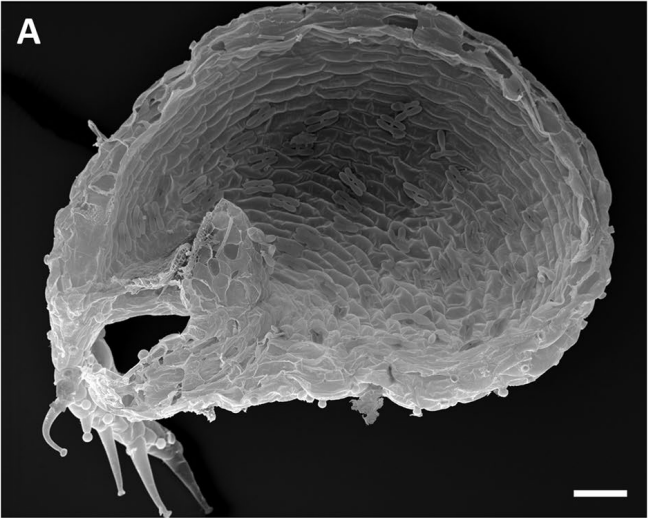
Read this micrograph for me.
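This is a bladderwort trap cut lengthwise, so you look into its hollow interior. The wall is thin and made of many small, elongated cells arranged in curving rows that follow the rounded outline of the chamber. Scattered over the inner surface are small raised structures, some elongated, some paired or cross-like. At the lower left the chamber narrows into a tubular entrance, from whose outer rim several long, tapering hairs project outward. The cut edge of the wall runs around the whole chamber, showing how thin it is compared with the size of the cavity.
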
